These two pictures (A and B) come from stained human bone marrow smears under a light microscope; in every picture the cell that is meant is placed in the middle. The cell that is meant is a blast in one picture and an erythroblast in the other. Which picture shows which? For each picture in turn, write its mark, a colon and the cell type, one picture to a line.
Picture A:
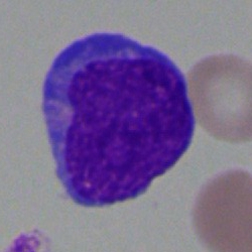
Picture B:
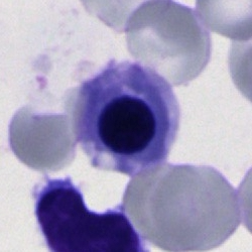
A: blast
B: erythroblast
